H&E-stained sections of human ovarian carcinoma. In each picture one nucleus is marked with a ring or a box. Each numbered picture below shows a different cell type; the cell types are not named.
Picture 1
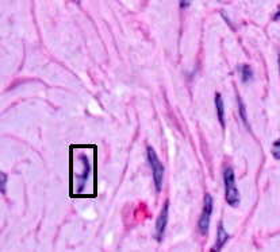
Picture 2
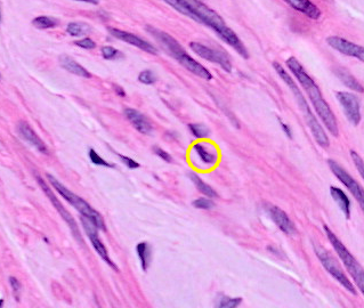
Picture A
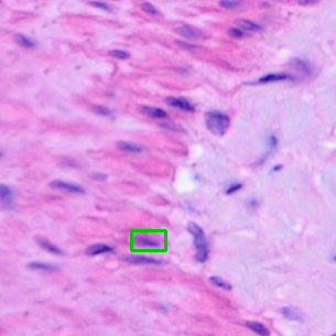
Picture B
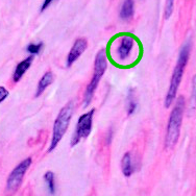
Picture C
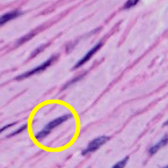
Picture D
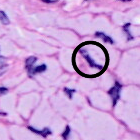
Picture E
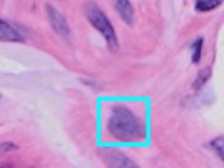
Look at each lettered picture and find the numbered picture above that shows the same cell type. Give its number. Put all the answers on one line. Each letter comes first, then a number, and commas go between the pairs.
A 2, B 2, C 1, D 1, E 2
